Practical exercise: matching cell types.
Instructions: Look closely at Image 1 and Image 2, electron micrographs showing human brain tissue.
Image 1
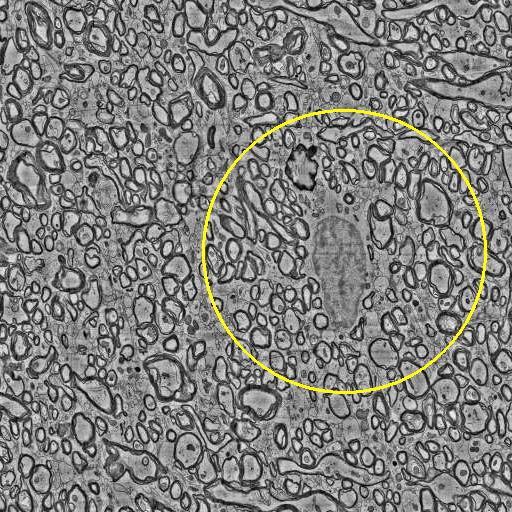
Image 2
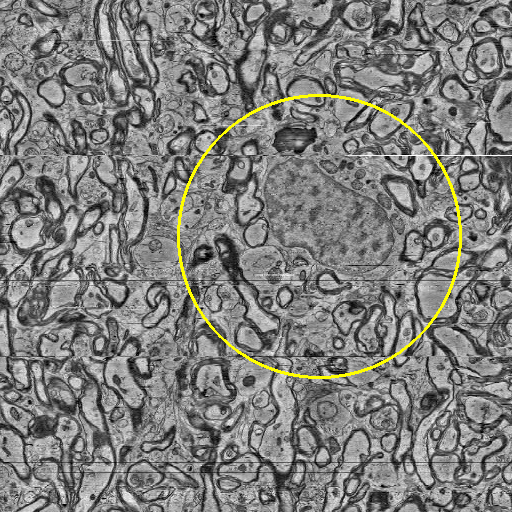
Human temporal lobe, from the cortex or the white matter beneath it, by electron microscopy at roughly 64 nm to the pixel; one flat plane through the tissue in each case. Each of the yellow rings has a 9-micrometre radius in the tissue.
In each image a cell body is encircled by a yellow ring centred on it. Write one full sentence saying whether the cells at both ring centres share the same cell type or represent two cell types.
Across Image 1 and Image 2, the cells at the ring centres share the same cell type.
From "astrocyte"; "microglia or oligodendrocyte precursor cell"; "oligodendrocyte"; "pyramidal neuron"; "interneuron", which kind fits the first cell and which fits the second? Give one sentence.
The second cell is an oligodendrocyte, just as the first is.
